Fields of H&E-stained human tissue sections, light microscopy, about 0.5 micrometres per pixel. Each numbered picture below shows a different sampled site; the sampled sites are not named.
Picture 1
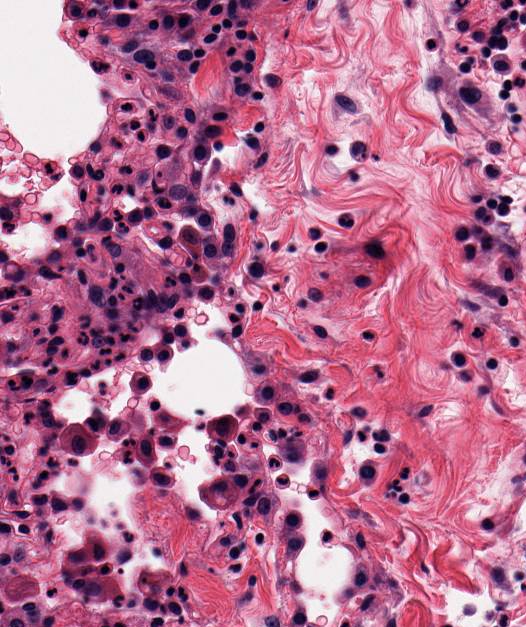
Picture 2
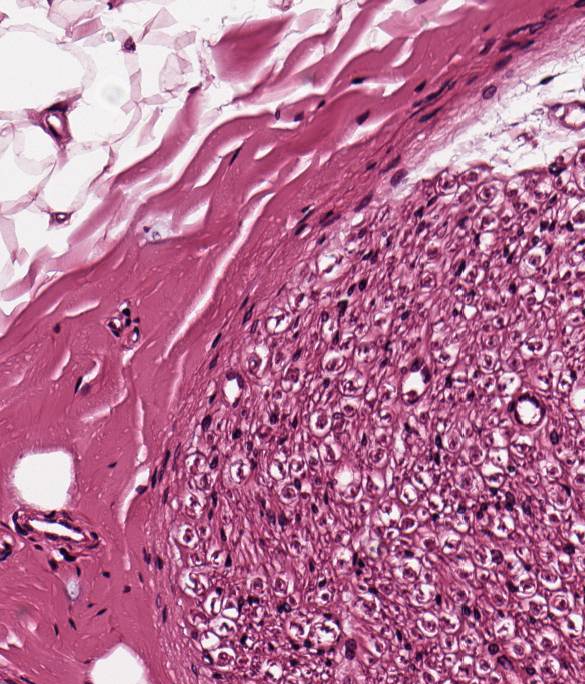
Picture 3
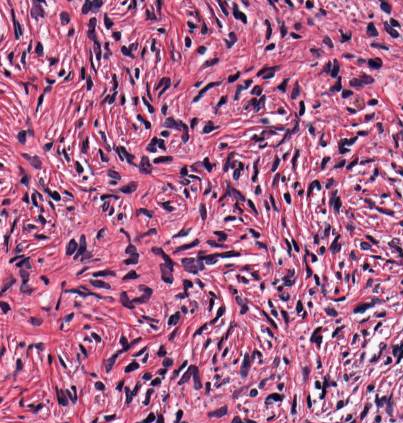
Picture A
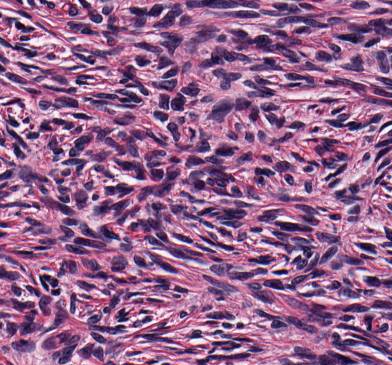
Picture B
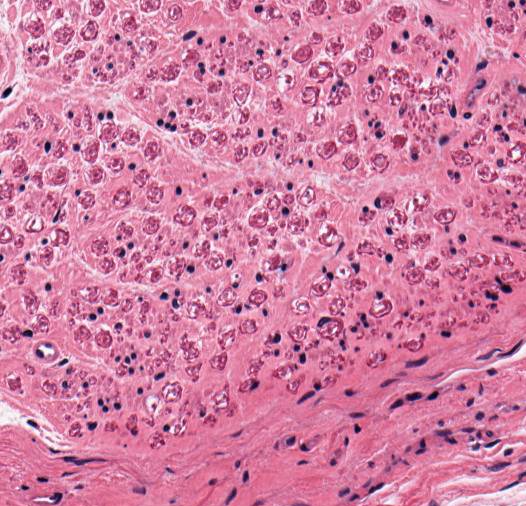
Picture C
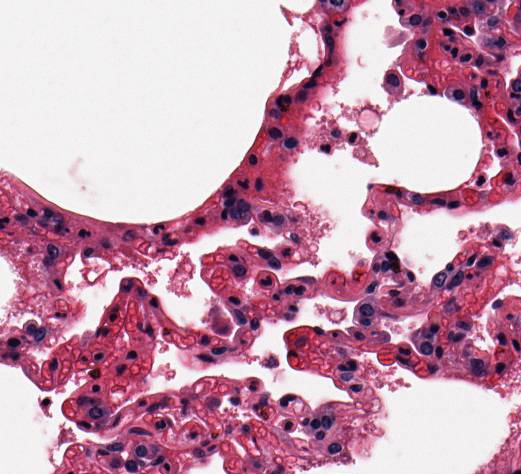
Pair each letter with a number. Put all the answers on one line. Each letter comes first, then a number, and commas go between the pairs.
A 3, B 2, C 1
